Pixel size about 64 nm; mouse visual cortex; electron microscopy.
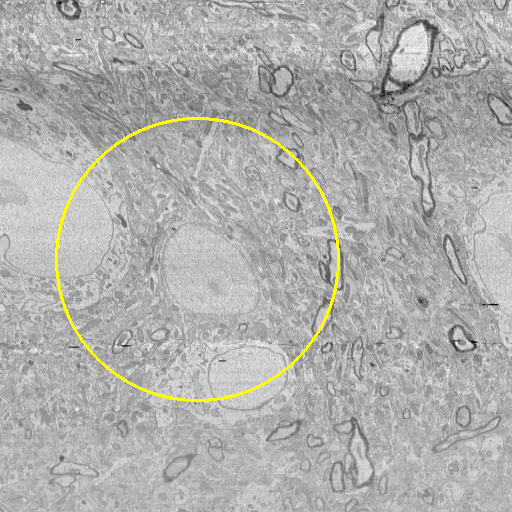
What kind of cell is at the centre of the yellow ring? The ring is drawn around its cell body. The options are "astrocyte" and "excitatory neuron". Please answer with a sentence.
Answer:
The yellow ring marks the cell body of an astrocyte.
